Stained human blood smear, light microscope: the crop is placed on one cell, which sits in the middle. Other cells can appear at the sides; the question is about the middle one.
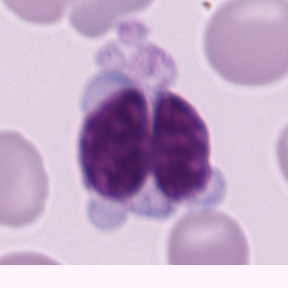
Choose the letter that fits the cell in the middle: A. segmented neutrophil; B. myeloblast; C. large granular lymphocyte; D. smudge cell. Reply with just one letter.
C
